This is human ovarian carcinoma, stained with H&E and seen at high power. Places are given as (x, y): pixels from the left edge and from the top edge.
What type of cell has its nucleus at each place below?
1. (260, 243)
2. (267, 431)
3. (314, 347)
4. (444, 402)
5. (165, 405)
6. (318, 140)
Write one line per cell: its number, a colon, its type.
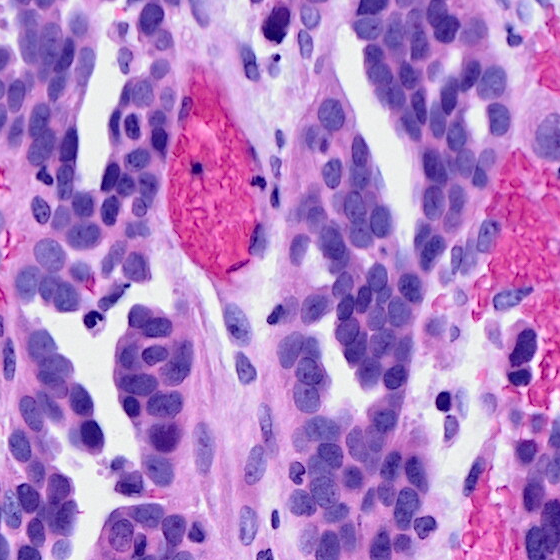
1: endothelial cell
2: fibroblast
3: carcinoma cell
4: lymphocyte
5: carcinoma cell
6: carcinoma cell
